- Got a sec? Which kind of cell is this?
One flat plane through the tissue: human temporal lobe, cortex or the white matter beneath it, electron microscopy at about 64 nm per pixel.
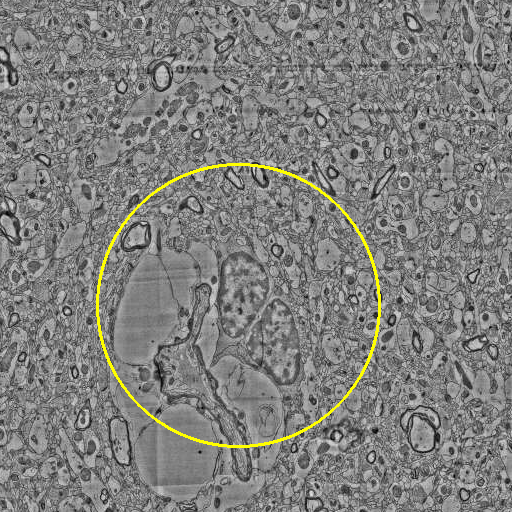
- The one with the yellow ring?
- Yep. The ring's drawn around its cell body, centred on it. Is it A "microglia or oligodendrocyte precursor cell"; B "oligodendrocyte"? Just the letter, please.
B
